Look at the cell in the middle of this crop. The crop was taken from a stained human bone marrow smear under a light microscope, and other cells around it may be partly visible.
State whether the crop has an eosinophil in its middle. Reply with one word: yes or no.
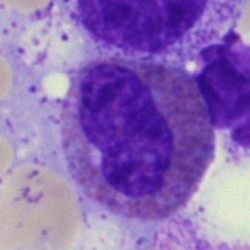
yes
